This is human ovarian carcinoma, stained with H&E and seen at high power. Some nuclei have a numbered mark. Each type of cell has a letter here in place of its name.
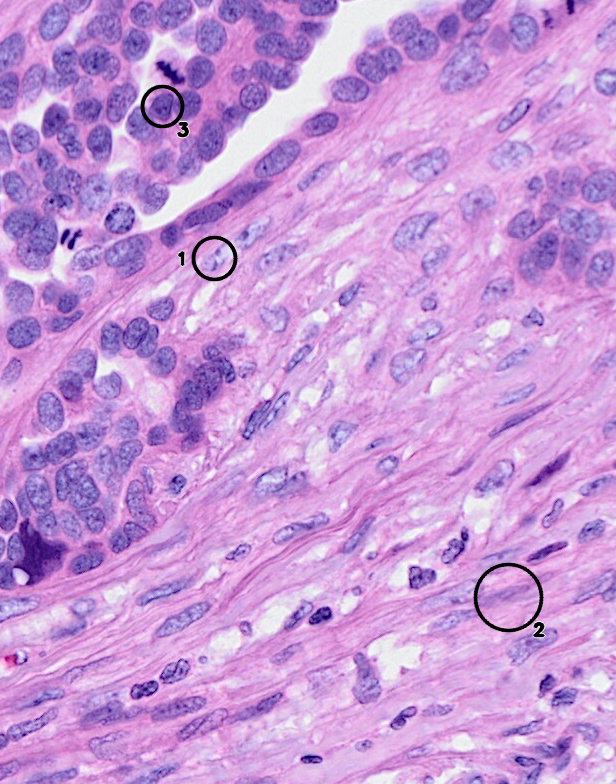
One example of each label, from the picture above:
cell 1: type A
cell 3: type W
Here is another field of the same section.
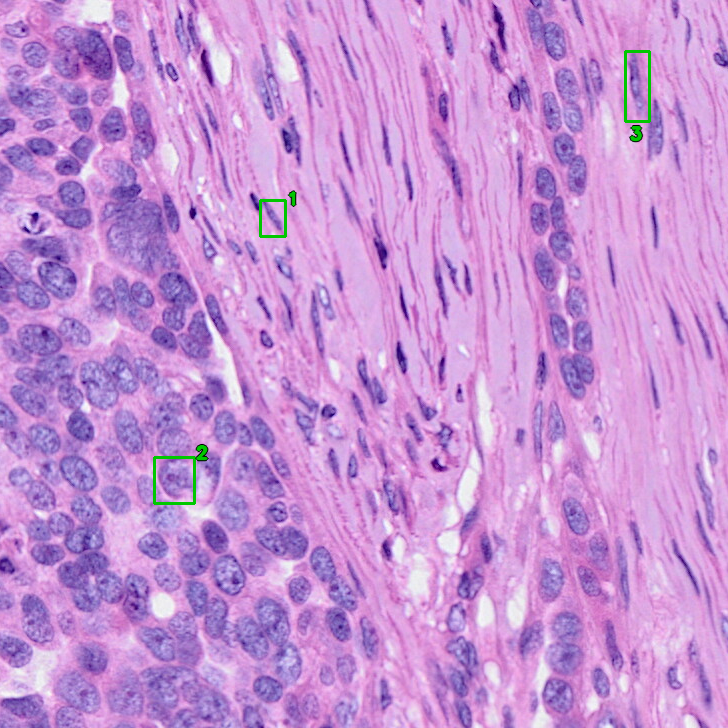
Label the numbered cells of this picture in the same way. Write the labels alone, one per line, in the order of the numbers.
type A
type W
type A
